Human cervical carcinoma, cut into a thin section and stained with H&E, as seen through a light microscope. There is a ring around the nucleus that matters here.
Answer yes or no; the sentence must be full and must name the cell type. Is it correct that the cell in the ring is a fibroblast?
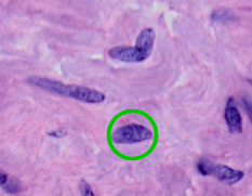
Yes, the cell in the ring is one that is classed as a fibroblast.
